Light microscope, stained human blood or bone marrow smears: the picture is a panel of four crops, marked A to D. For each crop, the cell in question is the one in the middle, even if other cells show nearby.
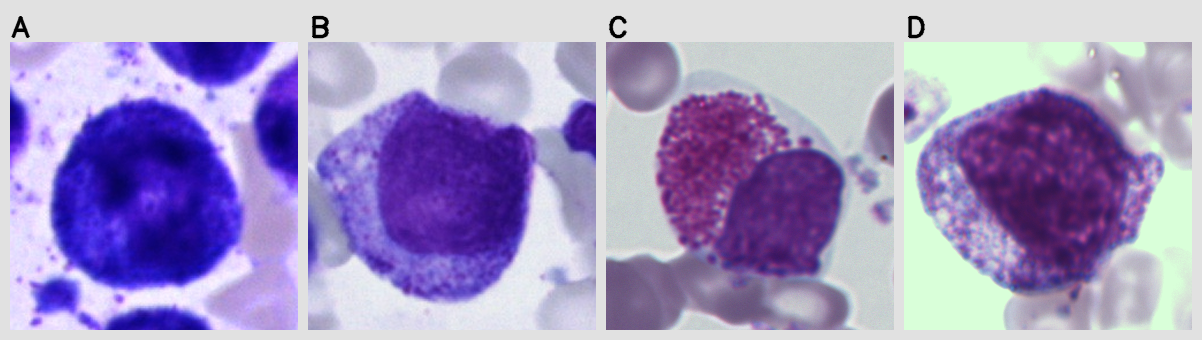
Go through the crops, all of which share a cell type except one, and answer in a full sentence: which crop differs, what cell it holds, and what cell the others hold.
Crop C is the sole crop with an eosinophil; the others all have promyelocytes.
